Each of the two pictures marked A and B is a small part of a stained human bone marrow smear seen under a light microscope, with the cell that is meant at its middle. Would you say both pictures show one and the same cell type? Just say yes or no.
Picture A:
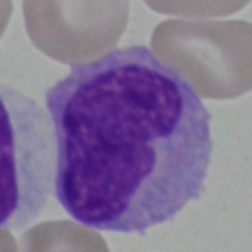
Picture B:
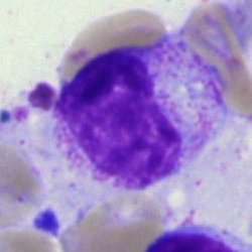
no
